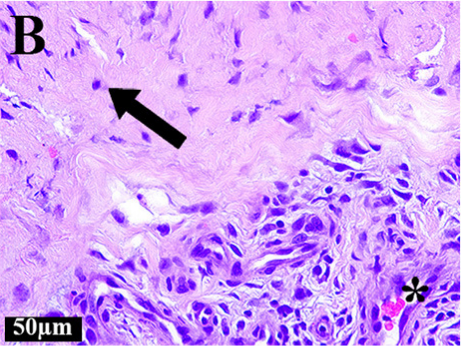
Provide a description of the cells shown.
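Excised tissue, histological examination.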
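The upper part shows fibrous connective tissue and the lower part shows cellular granulation tissue. Above, pale pink wavy collagen fibres predominate, with only a few scattered elongated, dark nuclei between them. Below, the tissue becomes crowded with plump oval and spindle-shaped nuclei lying in a looser pink matrix. A few red blood cells are visible near the lower right corner.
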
